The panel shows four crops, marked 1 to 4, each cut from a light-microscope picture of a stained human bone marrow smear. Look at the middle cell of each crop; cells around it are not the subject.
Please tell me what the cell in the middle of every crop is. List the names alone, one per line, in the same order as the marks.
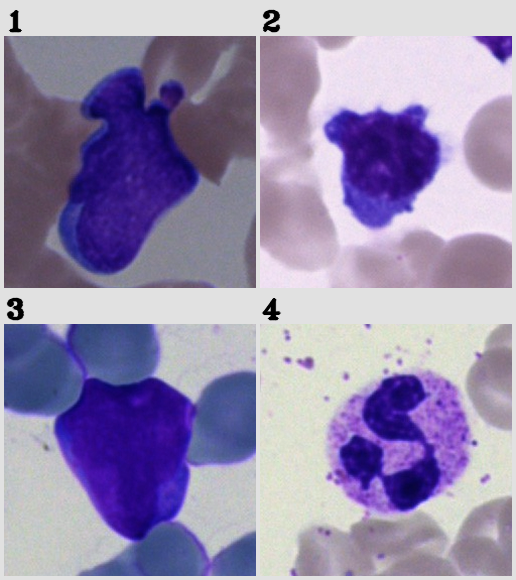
blast
blast
blast
segmented neutrophil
